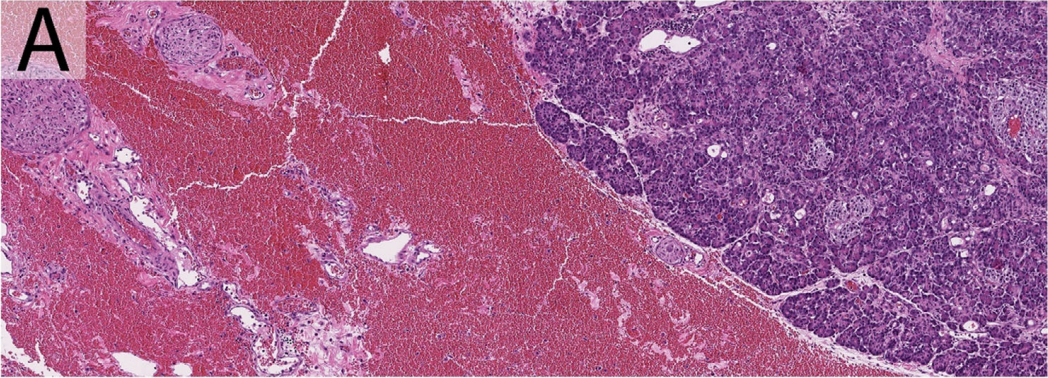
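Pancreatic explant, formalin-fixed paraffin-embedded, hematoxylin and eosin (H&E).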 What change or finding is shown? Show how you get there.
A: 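Large dissecting peripancreatic hematoma. A broad sheet of packed red blood cells fills the left half of the field. The blood spreads between and separates fibrous septa with vessels and nerves. Intact purple pancreatic lobules with pale islets lie to the right of the blood.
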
